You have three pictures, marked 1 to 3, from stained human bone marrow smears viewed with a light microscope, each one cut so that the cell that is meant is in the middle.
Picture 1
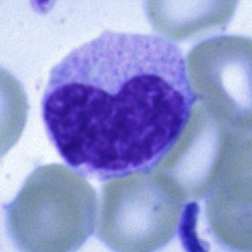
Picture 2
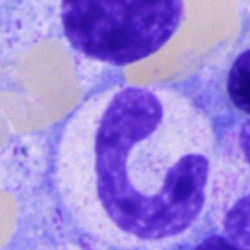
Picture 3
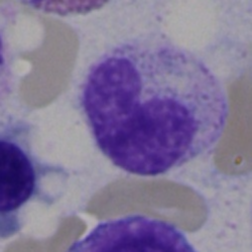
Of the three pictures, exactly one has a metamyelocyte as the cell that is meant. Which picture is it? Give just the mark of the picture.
1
